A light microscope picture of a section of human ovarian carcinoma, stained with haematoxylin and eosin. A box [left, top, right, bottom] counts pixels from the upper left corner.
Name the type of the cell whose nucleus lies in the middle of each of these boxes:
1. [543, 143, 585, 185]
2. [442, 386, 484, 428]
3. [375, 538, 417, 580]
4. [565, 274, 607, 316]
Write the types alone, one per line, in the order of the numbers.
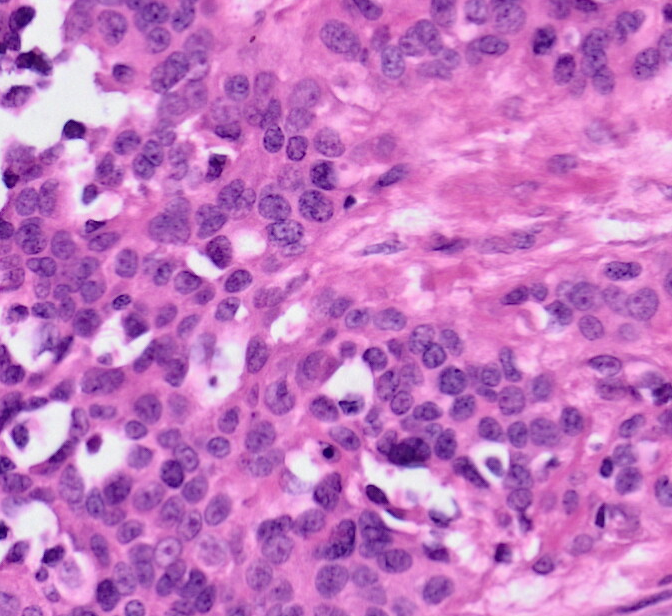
fibroblast
carcinoma cell
carcinoma cell
carcinoma cell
